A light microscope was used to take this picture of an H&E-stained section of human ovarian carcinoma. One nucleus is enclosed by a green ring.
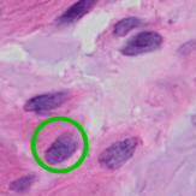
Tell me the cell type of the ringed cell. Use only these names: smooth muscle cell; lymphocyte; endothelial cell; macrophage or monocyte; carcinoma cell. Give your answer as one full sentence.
For cell typing purposes, the ringed cell is a smooth muscle cell.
